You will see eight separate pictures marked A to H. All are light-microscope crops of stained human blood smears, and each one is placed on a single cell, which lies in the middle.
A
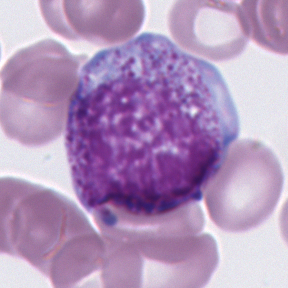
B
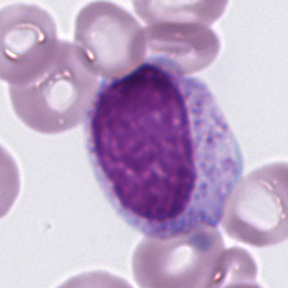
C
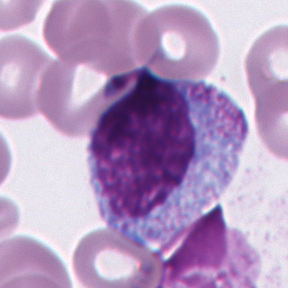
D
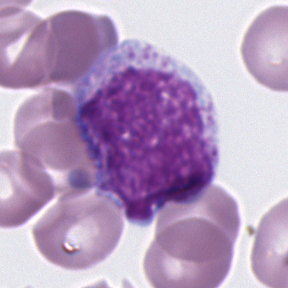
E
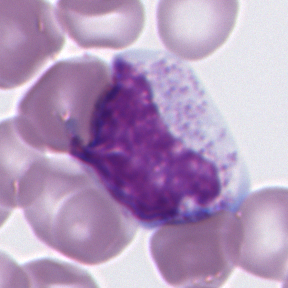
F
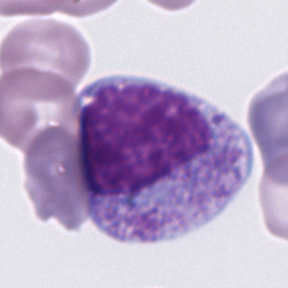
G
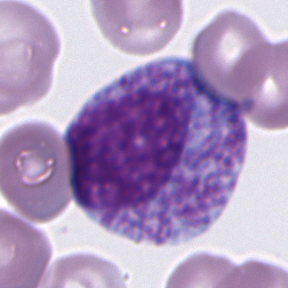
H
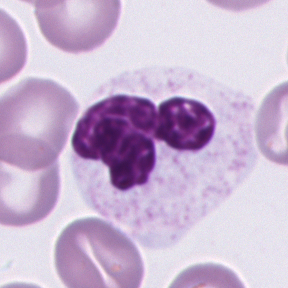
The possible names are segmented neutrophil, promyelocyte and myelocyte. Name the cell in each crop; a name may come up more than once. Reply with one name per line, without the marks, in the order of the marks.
myelocyte
myelocyte
promyelocyte
myelocyte
myelocyte
myelocyte
myelocyte
segmented neutrophil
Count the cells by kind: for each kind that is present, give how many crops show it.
myelocyte: 6
promyelocyte: 1
segmented neutrophil: 1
